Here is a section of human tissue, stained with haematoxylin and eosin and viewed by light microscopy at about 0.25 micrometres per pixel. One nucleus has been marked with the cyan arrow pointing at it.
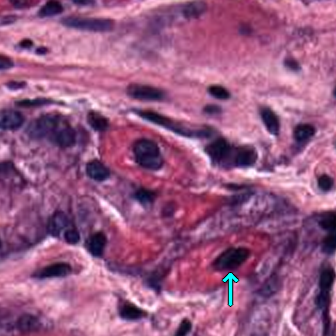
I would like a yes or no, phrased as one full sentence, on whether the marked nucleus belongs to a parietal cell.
Yes, a parietal cell is the owner of the marked nucleus.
